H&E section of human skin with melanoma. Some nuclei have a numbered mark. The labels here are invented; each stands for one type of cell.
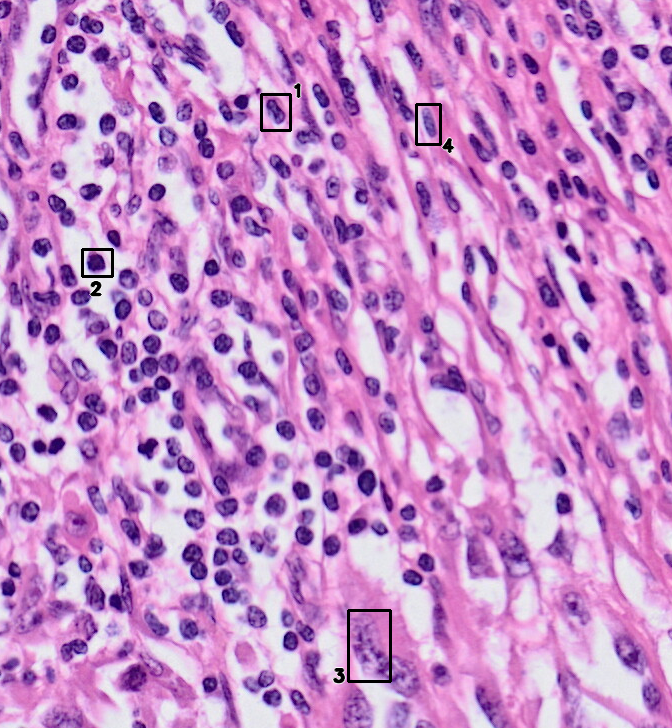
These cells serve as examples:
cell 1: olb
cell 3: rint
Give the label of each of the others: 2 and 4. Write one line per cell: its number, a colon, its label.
2: olb
4: olb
